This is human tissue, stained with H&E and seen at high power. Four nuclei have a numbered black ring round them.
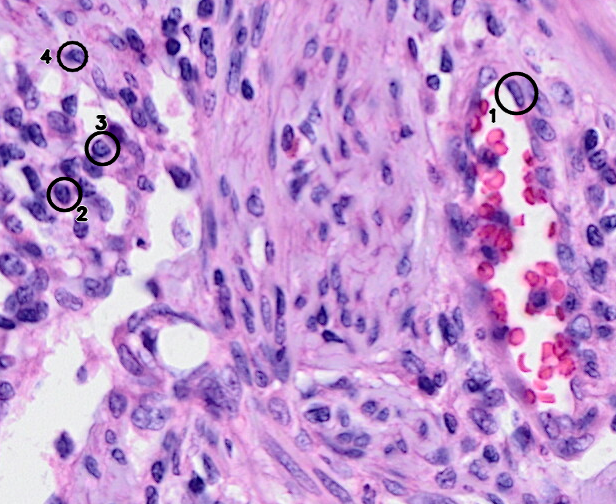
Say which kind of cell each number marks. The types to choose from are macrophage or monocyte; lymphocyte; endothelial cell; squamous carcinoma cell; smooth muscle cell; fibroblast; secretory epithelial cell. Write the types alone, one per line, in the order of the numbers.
endothelial cell
lymphocyte
lymphocyte
lymphocyte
